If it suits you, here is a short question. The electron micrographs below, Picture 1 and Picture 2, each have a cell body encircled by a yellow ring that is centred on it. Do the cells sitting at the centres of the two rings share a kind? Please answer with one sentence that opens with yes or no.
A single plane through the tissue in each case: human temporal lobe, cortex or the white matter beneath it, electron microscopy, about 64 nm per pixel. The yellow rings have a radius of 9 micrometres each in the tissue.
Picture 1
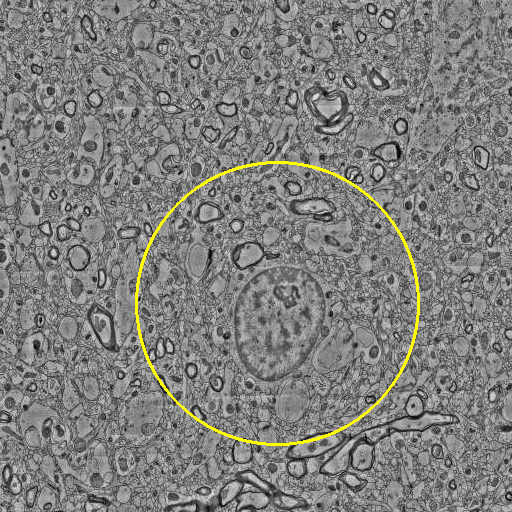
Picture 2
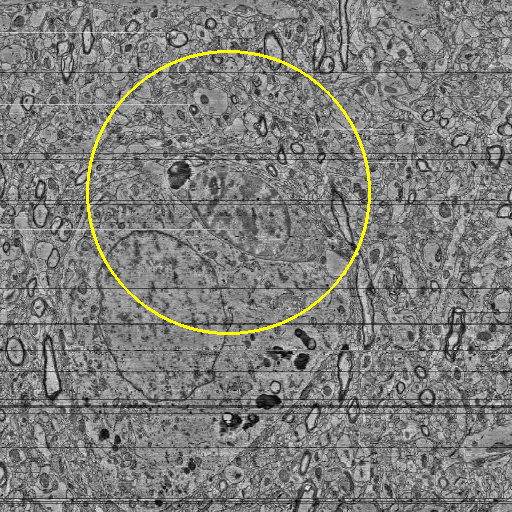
Yes, the two cells sitting at the ring centres share a single kind.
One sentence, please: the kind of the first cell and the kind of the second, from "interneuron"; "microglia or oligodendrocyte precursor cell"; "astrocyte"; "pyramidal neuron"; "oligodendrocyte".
The second cell is an oligodendrocyte, just as the first is.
